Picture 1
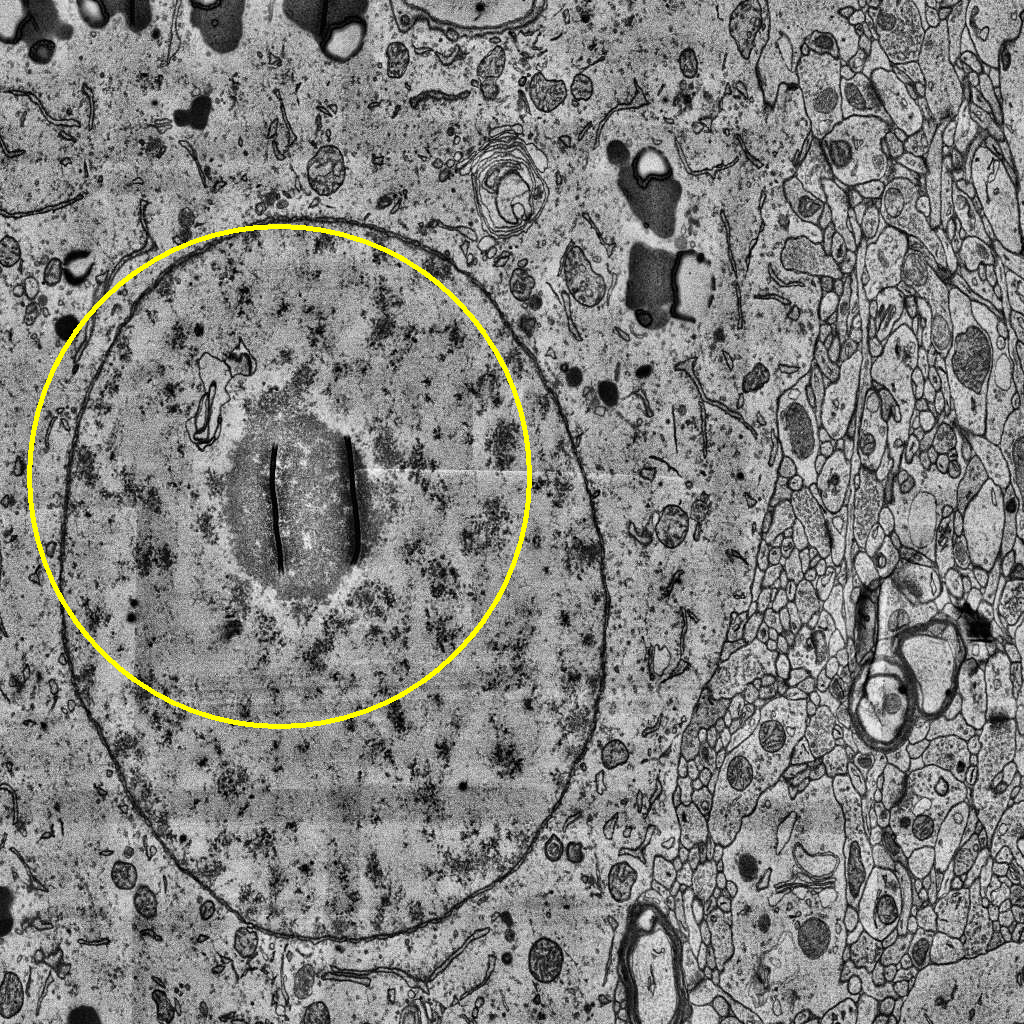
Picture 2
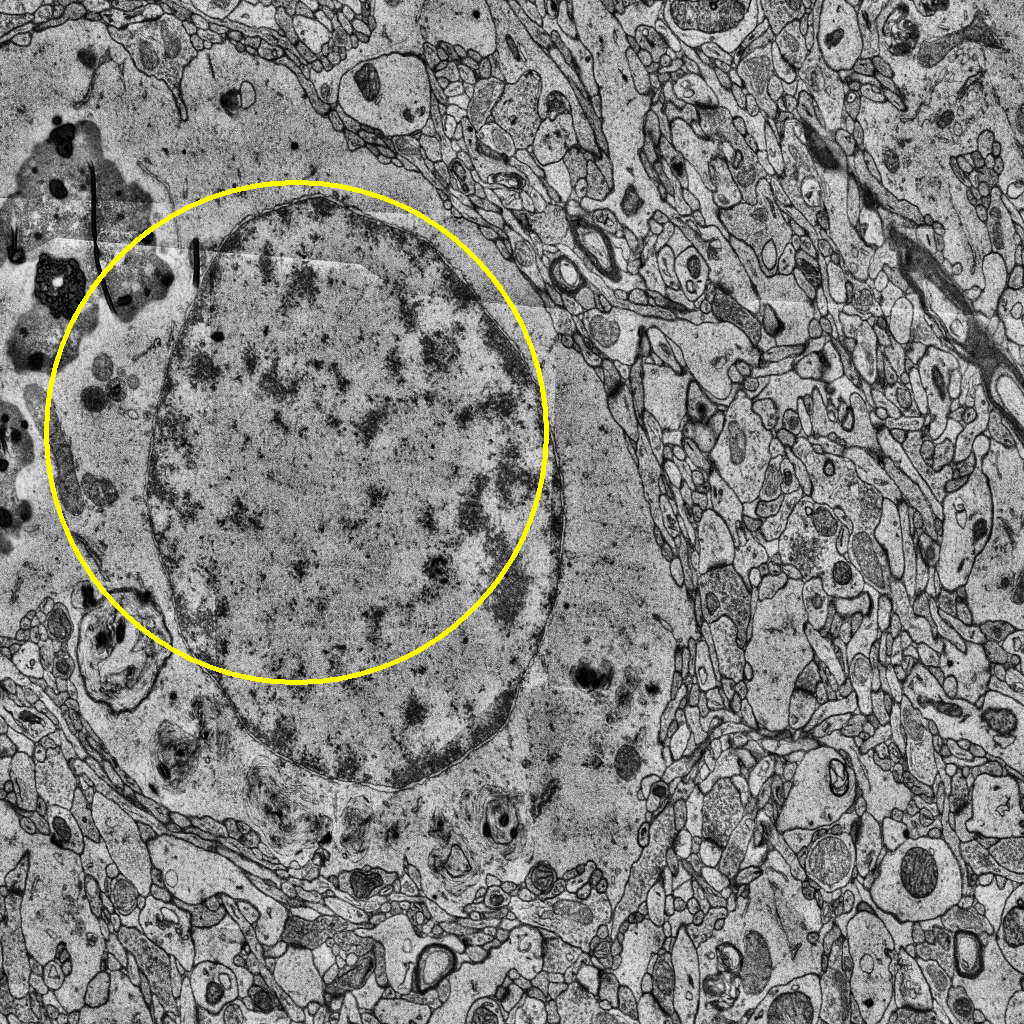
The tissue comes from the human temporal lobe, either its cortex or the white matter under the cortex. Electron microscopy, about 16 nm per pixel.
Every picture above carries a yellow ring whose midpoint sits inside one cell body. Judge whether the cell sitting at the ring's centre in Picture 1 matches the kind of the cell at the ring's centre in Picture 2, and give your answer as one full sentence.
No, the cells at the centres of the rings in Pictures 1 and 2 belong to two kinds.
